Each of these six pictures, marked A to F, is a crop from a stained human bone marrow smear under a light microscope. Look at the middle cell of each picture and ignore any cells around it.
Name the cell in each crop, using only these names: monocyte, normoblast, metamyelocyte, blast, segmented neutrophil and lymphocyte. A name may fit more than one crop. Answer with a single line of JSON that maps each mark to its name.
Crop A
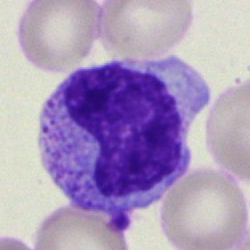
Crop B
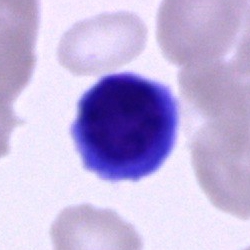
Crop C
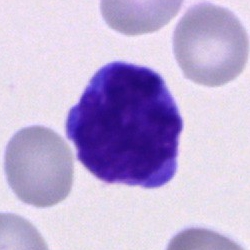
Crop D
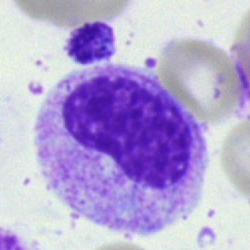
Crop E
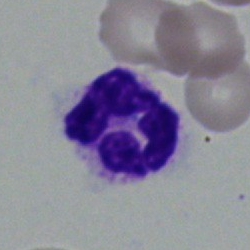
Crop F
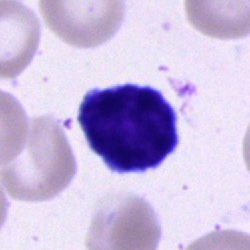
{"A": "metamyelocyte", "B": "normoblast", "C": "blast", "D": "metamyelocyte", "E": "segmented neutrophil", "F": "lymphocyte"}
